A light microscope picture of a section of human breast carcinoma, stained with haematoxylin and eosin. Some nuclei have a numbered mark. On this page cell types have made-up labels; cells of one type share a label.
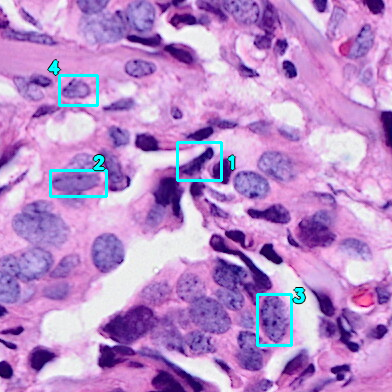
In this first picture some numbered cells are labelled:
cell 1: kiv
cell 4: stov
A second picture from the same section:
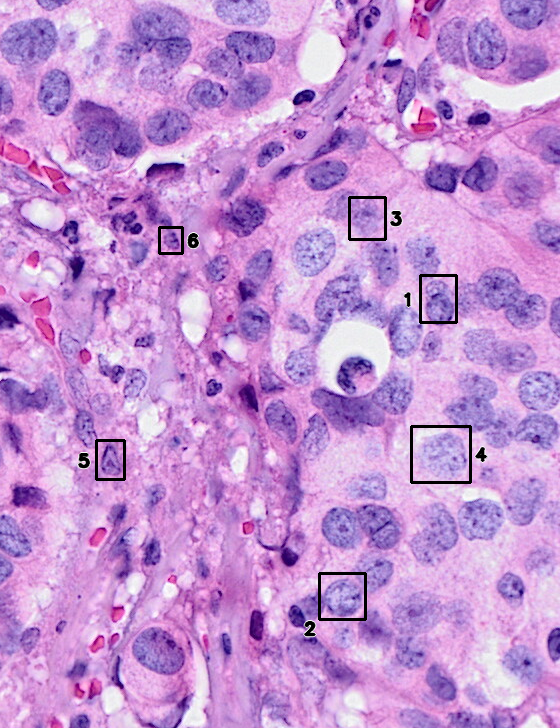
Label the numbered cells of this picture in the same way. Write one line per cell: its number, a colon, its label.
1: kiv
2: kiv
3: kiv
4: kiv
5: stov
6: stov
